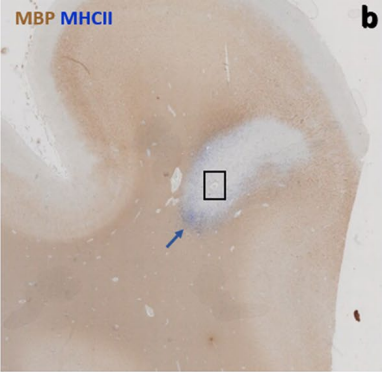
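This is a low-power view of brain tissue across a gyrus. Cortex and the underlying white matter are stained brown, while an oval area near the junction of grey and white matter is pale and largely unstained. A haze of blue staining fills this pale area, and it is densest along one edge, where microglial cells gather at the border of the lesion. Small clefts and holes scattered through the brown tissue are cut vessels. At this magnification single cells cannot be resolved.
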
